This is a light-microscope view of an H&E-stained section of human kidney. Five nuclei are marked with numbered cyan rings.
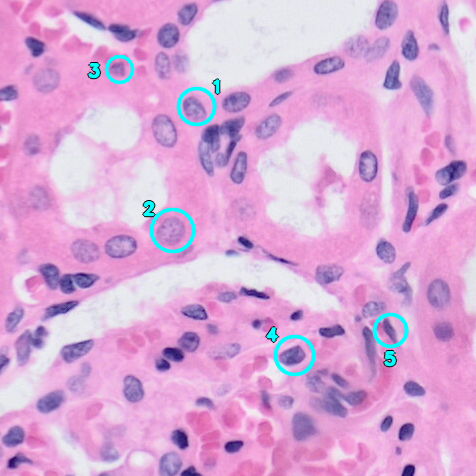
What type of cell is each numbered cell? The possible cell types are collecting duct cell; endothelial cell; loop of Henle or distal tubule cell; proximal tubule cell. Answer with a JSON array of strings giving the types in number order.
["collecting duct cell", "proximal tubule cell", "endothelial cell", "endothelial cell", "endothelial cell"]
